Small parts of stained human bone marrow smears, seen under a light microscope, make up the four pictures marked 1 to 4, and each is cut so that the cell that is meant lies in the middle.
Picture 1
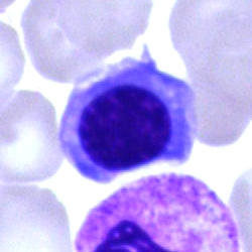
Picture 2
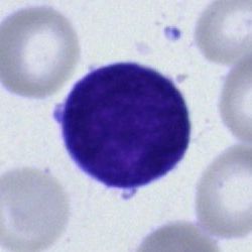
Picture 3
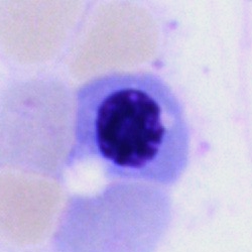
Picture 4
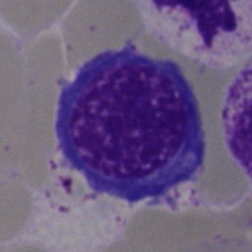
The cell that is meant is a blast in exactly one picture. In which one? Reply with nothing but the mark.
2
